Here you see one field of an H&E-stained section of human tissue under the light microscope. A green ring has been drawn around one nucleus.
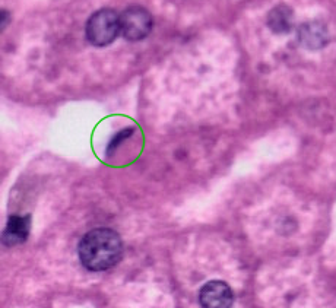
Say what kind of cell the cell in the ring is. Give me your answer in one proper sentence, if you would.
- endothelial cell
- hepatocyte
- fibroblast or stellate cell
In this tissue sample, the cell in the ring is an endothelial cell.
